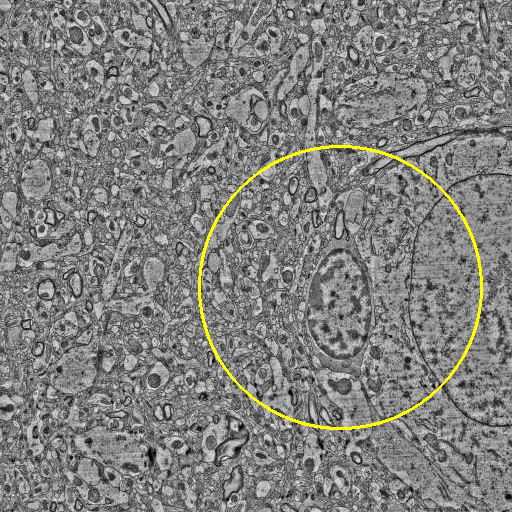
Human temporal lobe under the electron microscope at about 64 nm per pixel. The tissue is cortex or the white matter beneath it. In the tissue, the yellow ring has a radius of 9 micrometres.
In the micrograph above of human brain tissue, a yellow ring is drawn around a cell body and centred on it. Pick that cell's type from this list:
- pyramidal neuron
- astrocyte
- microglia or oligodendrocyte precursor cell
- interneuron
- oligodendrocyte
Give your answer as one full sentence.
Going by the list, an oligodendrocyte is the cell on which the yellow ring is centred.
